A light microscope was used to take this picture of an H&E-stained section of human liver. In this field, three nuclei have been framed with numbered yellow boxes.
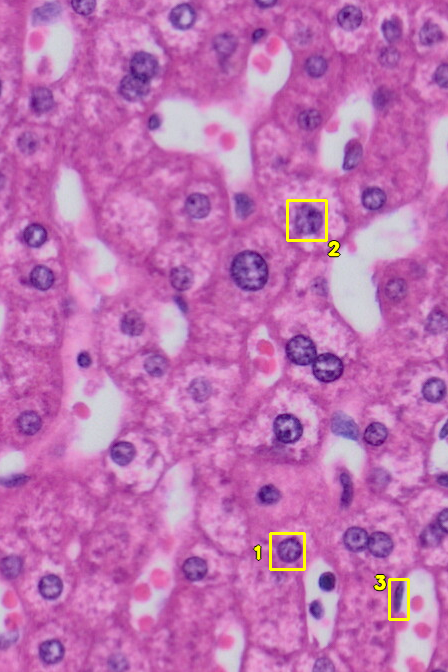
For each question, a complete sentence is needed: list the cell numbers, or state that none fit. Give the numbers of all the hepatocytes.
The cells referred to by the numbers 1 and 2 are hepatocytes.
